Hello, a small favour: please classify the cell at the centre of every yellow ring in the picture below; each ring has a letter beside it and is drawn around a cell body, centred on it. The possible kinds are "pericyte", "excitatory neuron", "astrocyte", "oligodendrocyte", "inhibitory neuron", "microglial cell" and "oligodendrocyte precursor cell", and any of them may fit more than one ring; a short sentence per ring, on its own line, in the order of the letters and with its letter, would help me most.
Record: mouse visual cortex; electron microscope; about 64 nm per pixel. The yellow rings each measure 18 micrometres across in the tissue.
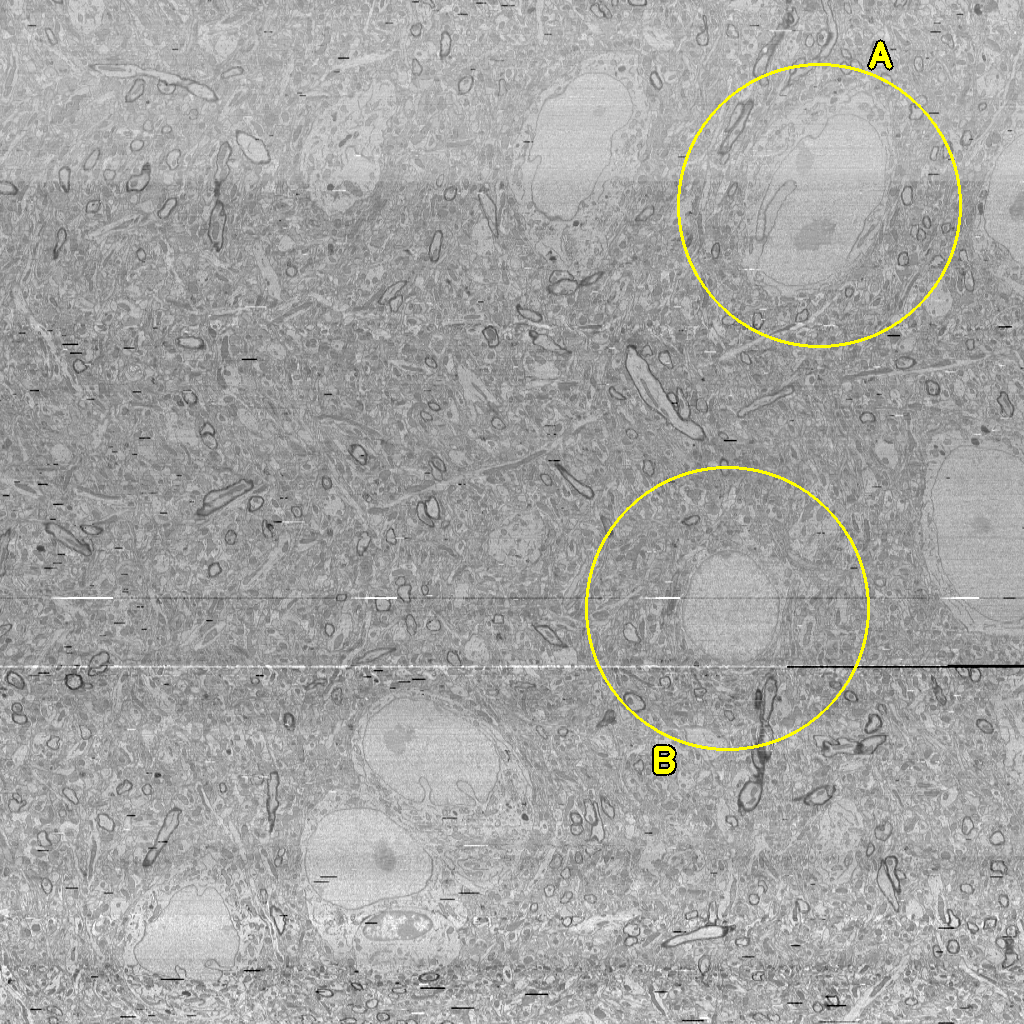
The centre of ring A falls on an excitatory neuron.
The centre of ring B falls on an astrocyte.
